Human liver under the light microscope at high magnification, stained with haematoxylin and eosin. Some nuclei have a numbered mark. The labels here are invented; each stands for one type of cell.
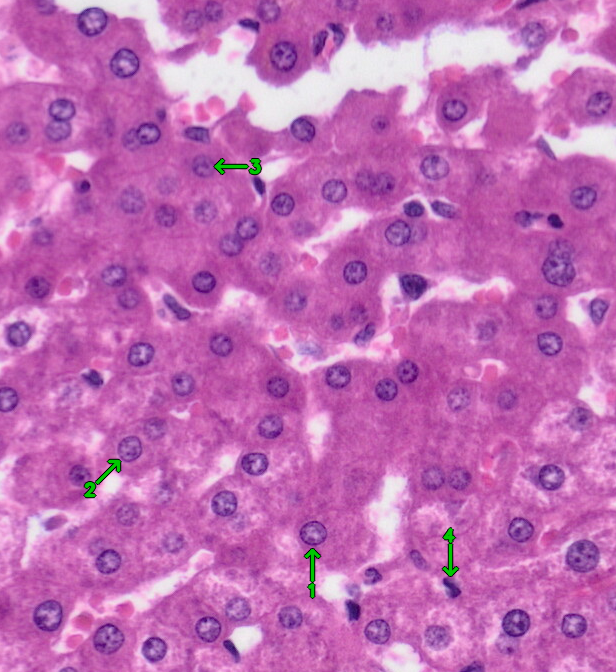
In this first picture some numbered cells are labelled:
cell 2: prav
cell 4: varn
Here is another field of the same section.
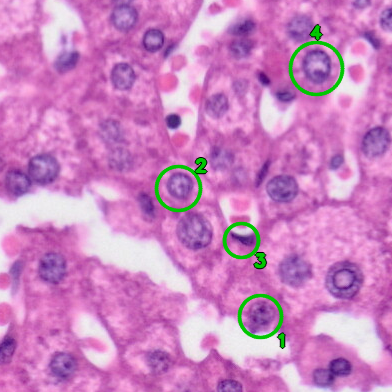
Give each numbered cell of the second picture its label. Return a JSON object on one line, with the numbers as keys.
{"1": "prav", "2": "prav", "3": "varn", "4": "prav"}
